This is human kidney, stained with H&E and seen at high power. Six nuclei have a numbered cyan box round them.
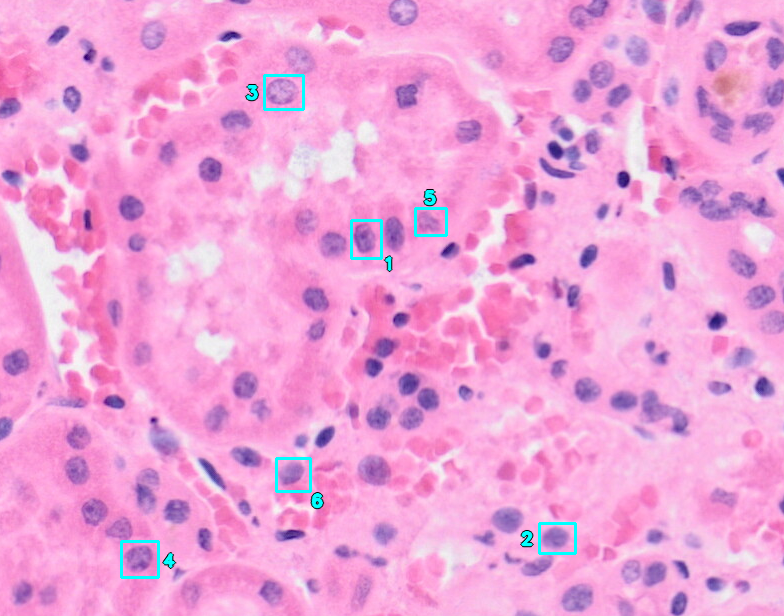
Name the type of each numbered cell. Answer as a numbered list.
1. proximal tubule cell
2. endothelial cell
3. proximal tubule cell
4. proximal tubule cell
5. proximal tubule cell
6. endothelial cell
